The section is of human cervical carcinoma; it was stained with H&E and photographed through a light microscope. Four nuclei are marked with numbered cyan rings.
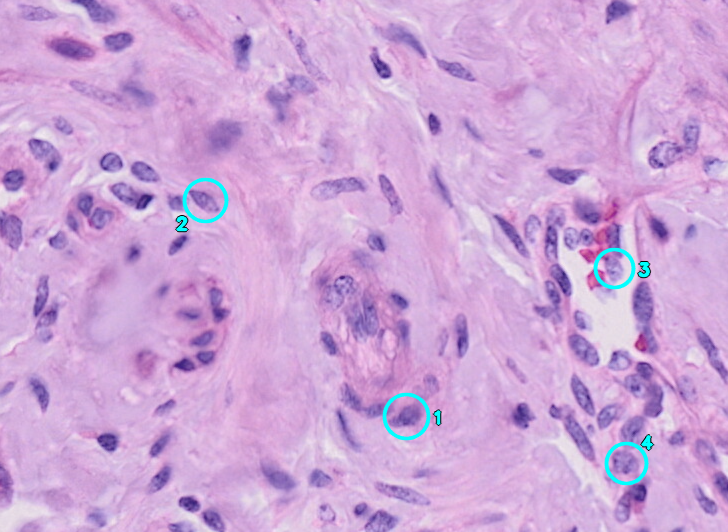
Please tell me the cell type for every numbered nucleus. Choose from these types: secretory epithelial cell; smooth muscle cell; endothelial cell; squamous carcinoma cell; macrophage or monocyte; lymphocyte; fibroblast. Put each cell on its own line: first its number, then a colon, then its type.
1: smooth muscle cell
2: fibroblast
3: endothelial cell
4: endothelial cell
